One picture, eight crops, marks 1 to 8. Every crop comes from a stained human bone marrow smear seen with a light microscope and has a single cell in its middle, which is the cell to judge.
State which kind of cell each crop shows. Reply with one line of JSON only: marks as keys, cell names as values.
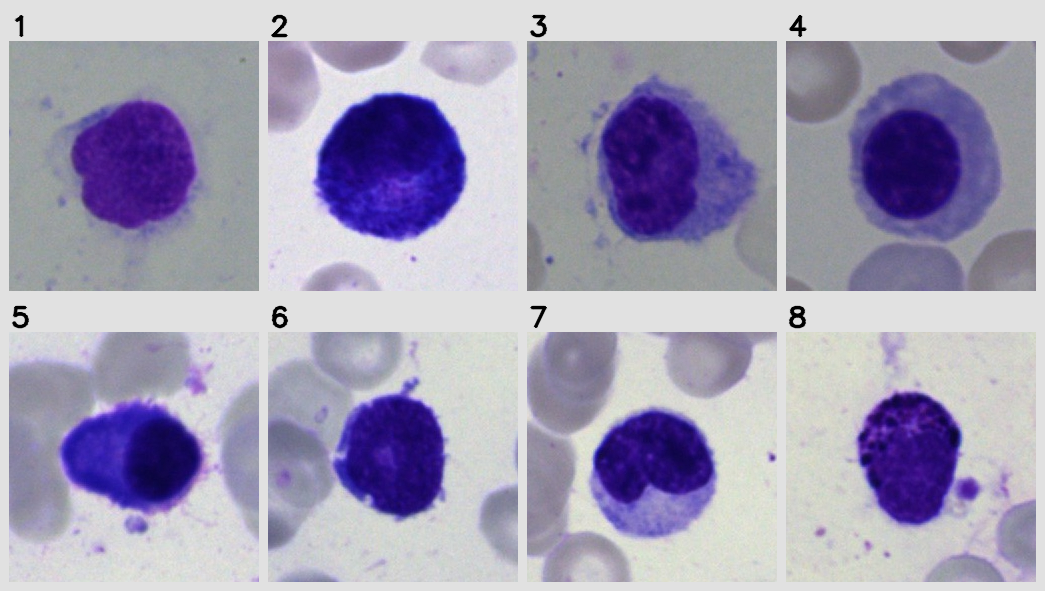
{"1": "hairy cell", "2": "promyelocyte", "3": "hairy cell", "4": "erythroblast", "5": "plasma cell", "6": "blast", "7": "metamyelocyte", "8": "basophil"}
